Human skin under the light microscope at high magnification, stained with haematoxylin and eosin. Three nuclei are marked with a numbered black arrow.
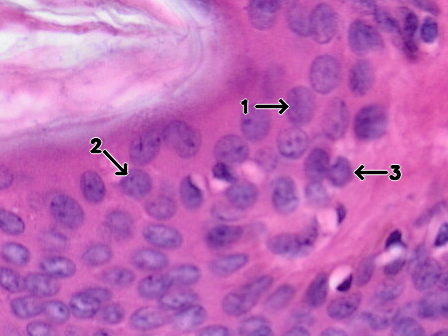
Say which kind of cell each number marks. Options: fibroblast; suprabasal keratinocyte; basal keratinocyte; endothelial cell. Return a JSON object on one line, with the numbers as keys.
{"1": "suprabasal keratinocyte", "2": "suprabasal keratinocyte", "3": "basal keratinocyte"}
